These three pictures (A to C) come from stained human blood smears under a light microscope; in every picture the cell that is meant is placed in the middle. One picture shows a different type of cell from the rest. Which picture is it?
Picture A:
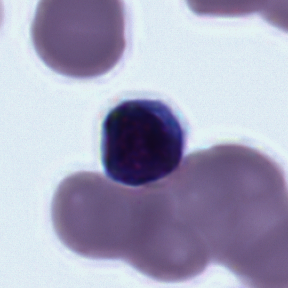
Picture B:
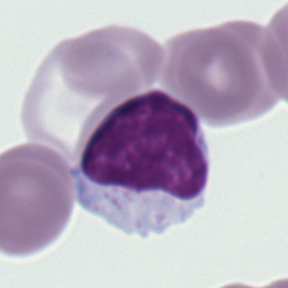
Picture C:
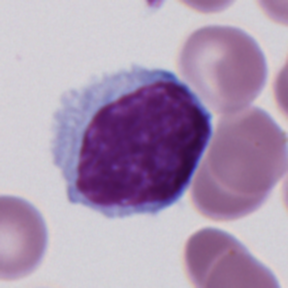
A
